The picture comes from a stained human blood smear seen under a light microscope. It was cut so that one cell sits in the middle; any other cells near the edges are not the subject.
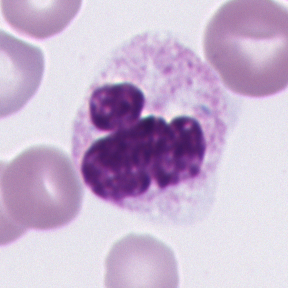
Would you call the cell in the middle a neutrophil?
yes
